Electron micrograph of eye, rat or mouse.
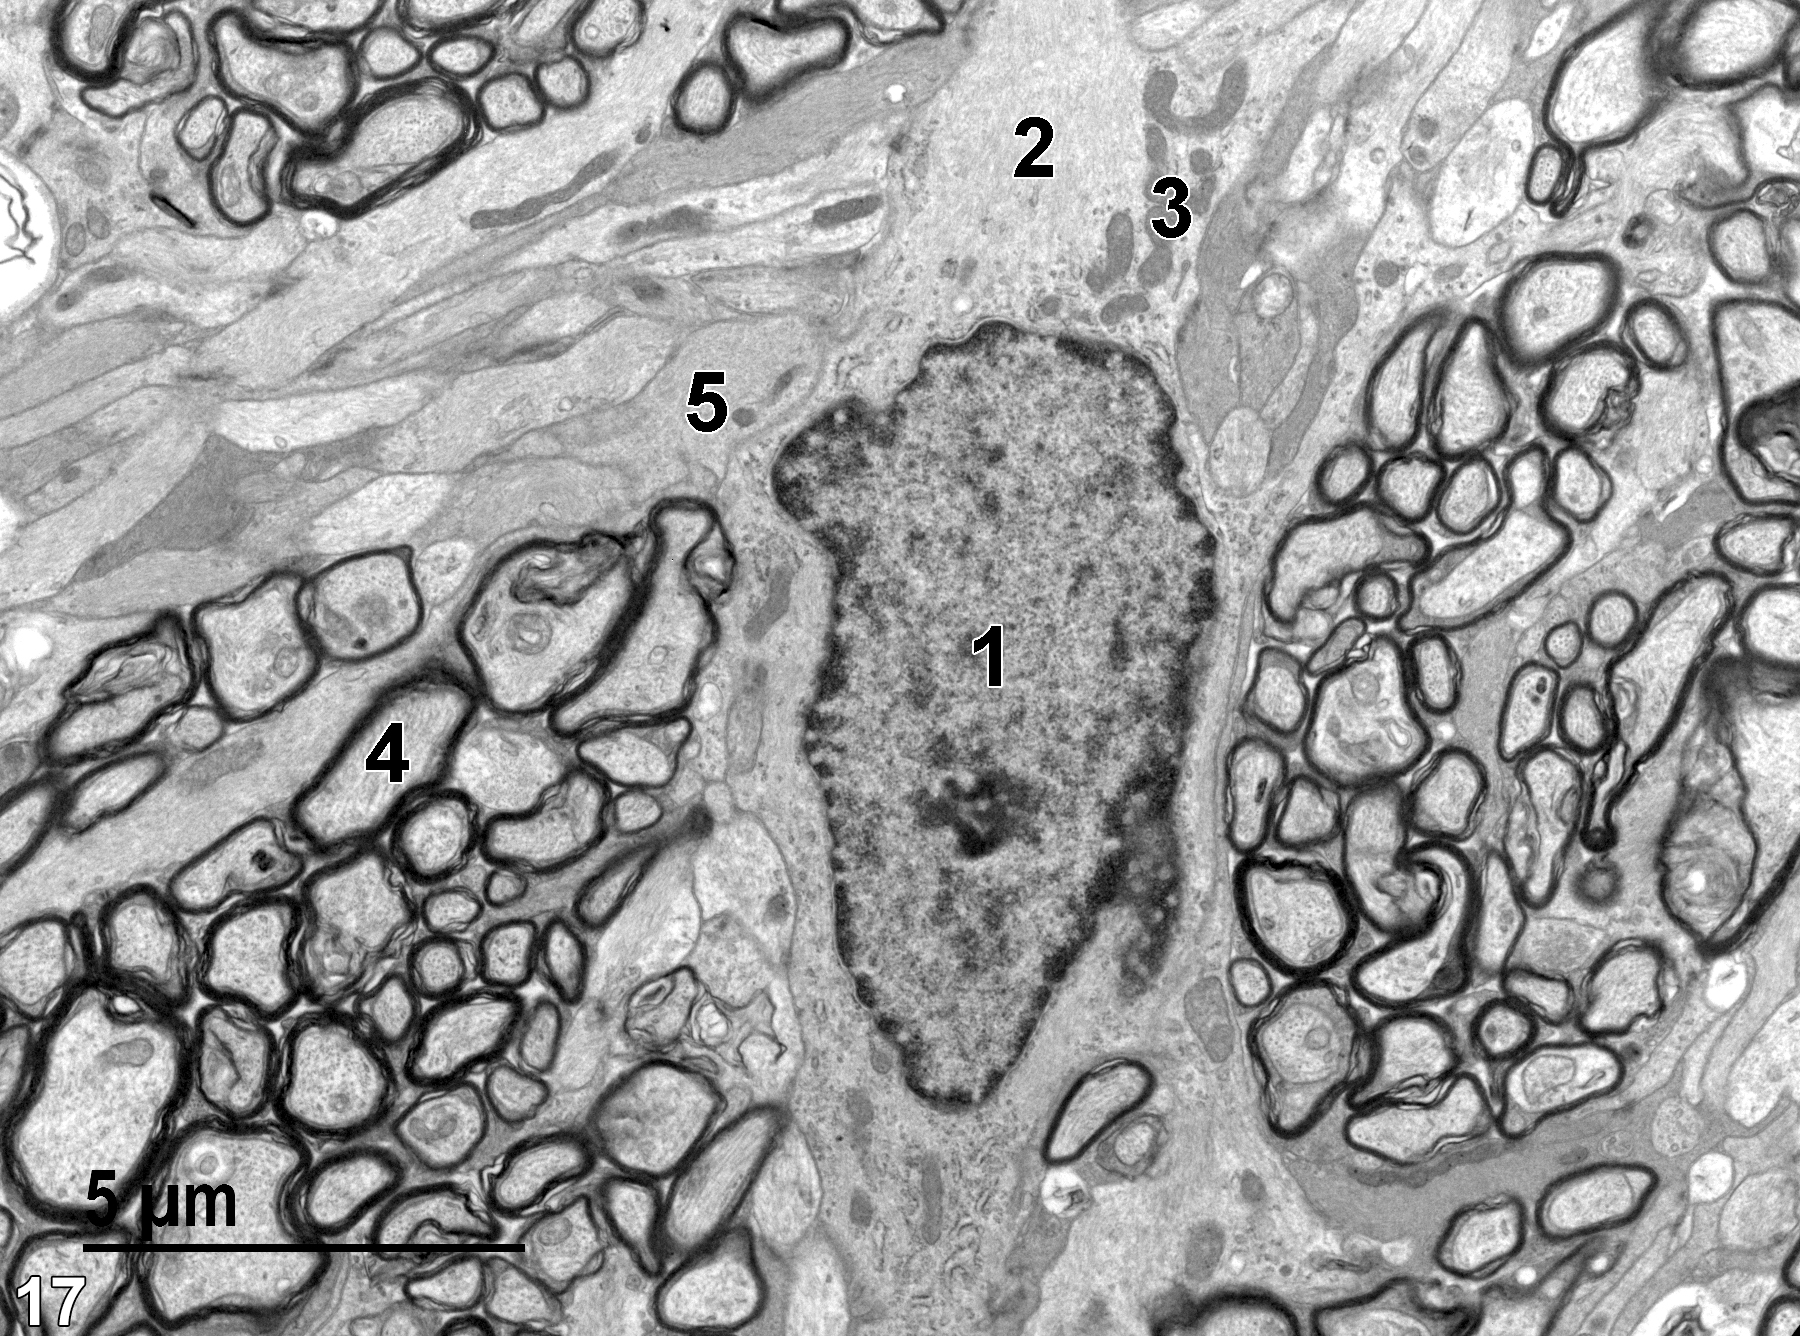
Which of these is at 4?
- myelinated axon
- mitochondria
myelinated axon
